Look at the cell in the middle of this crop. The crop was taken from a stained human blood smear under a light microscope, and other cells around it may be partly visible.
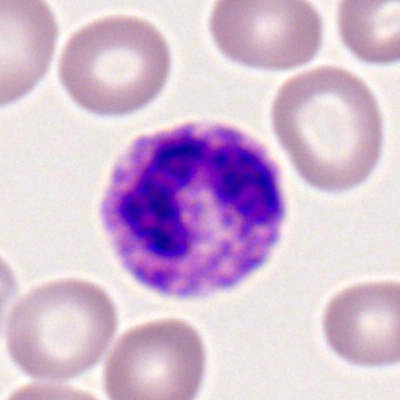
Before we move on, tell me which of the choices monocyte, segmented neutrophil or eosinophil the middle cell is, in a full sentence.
The cell centred in this crop is categorized as an eosinophil.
